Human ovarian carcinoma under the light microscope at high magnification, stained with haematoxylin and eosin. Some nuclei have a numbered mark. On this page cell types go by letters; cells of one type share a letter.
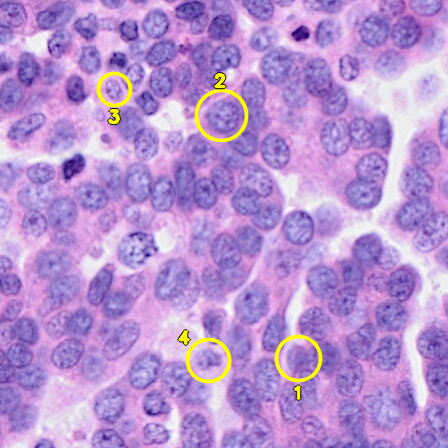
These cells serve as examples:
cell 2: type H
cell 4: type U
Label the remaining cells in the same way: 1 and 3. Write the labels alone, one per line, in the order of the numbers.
type H
type U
